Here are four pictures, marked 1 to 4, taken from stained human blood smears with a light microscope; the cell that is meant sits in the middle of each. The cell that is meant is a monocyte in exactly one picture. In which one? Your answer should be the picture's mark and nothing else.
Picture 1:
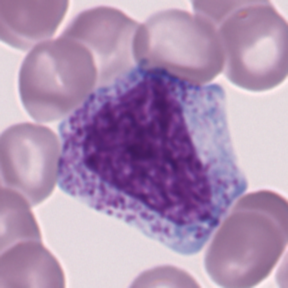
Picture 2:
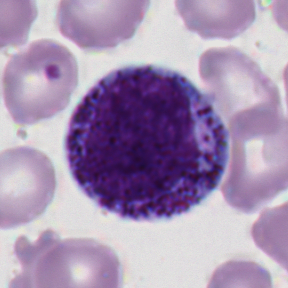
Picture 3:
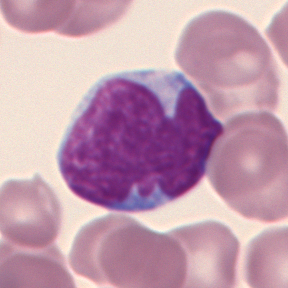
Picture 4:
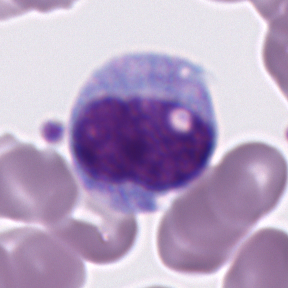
4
